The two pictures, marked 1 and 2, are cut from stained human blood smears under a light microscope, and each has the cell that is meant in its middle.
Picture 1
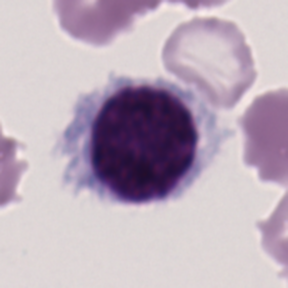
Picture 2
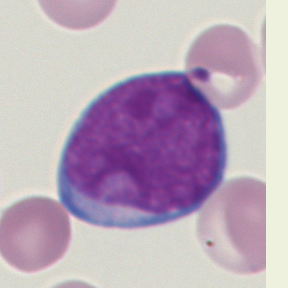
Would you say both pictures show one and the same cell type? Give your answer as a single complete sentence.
No, picture 1 shows a hairy cell and picture 2 shows a myeloblast.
